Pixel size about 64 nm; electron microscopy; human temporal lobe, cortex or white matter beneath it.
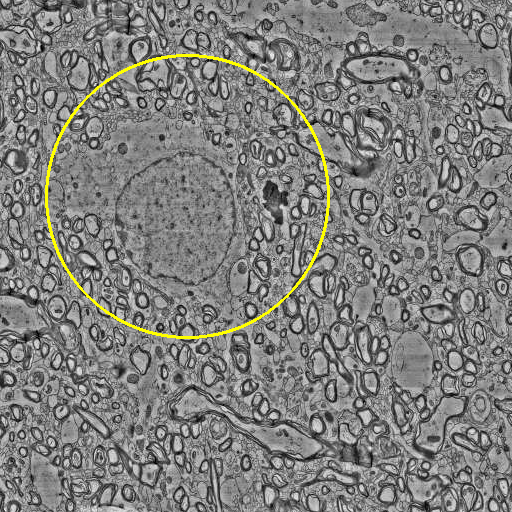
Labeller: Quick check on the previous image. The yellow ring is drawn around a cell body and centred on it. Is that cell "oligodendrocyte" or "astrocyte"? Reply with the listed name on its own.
astrocyte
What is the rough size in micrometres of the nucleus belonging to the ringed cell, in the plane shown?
About 8 micrometres across in this plane.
